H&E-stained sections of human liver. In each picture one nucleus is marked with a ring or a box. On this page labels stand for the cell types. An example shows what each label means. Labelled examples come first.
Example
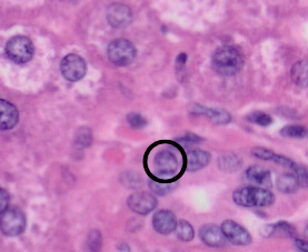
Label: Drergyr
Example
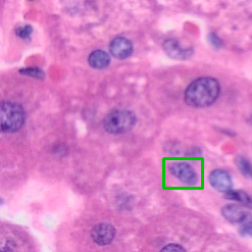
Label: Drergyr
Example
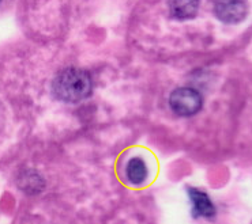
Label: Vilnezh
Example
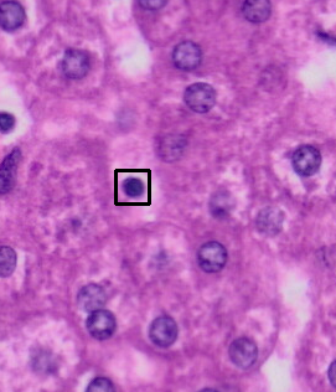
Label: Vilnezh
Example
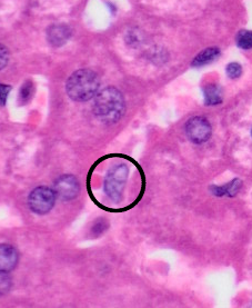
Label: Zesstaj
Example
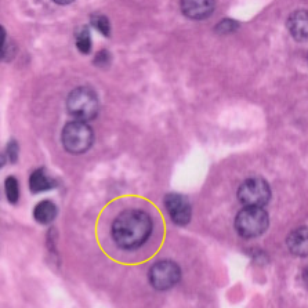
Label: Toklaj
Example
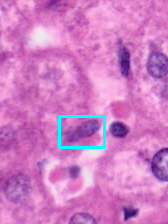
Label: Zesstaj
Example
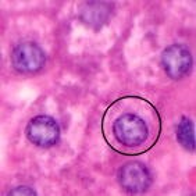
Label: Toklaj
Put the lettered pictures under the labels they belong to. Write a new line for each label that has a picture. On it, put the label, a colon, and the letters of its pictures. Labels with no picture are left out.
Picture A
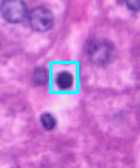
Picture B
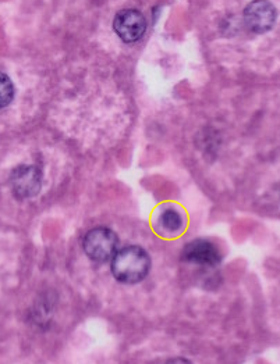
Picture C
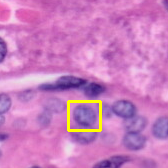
Drergyr: C
Vilnezh: A, B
